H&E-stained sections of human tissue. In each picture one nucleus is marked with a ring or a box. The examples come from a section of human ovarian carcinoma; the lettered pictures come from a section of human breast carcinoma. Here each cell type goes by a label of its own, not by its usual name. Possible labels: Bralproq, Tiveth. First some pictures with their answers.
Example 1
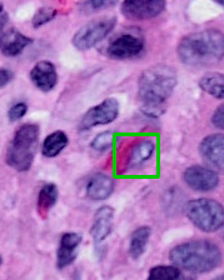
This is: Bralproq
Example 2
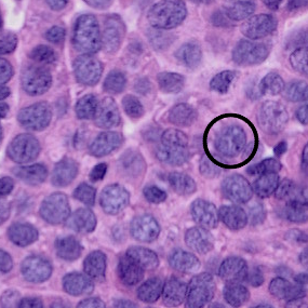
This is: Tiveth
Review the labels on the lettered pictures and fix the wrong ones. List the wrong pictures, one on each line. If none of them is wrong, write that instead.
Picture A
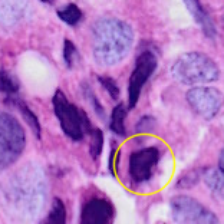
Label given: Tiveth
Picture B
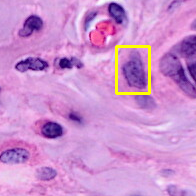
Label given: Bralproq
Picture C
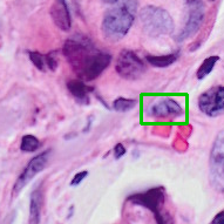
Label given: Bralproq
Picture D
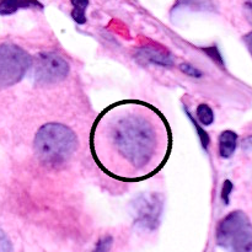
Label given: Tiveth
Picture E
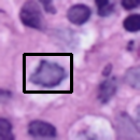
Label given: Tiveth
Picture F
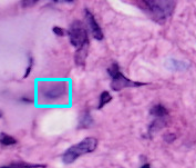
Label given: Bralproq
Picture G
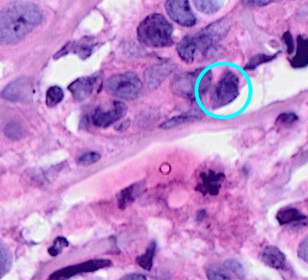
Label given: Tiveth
No label is wrong.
